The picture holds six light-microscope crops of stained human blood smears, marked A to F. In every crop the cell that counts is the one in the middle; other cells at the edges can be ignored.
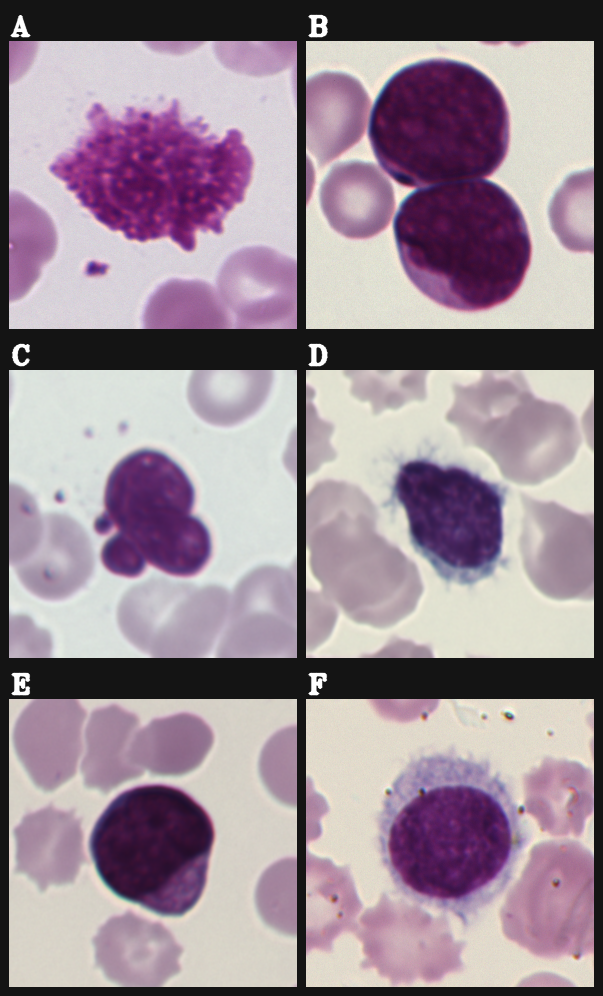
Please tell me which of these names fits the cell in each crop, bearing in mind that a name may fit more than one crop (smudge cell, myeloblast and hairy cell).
A: smudge cell
B: myeloblast
C: smudge cell
D: hairy cell
E: myeloblast
F: hairy cell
